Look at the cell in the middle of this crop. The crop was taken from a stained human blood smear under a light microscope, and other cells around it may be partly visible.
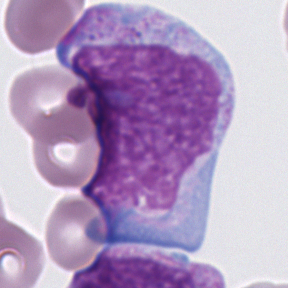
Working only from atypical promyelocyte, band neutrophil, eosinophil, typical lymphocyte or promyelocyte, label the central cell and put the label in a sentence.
By classification, the middle cell of this crop is an atypical promyelocyte.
